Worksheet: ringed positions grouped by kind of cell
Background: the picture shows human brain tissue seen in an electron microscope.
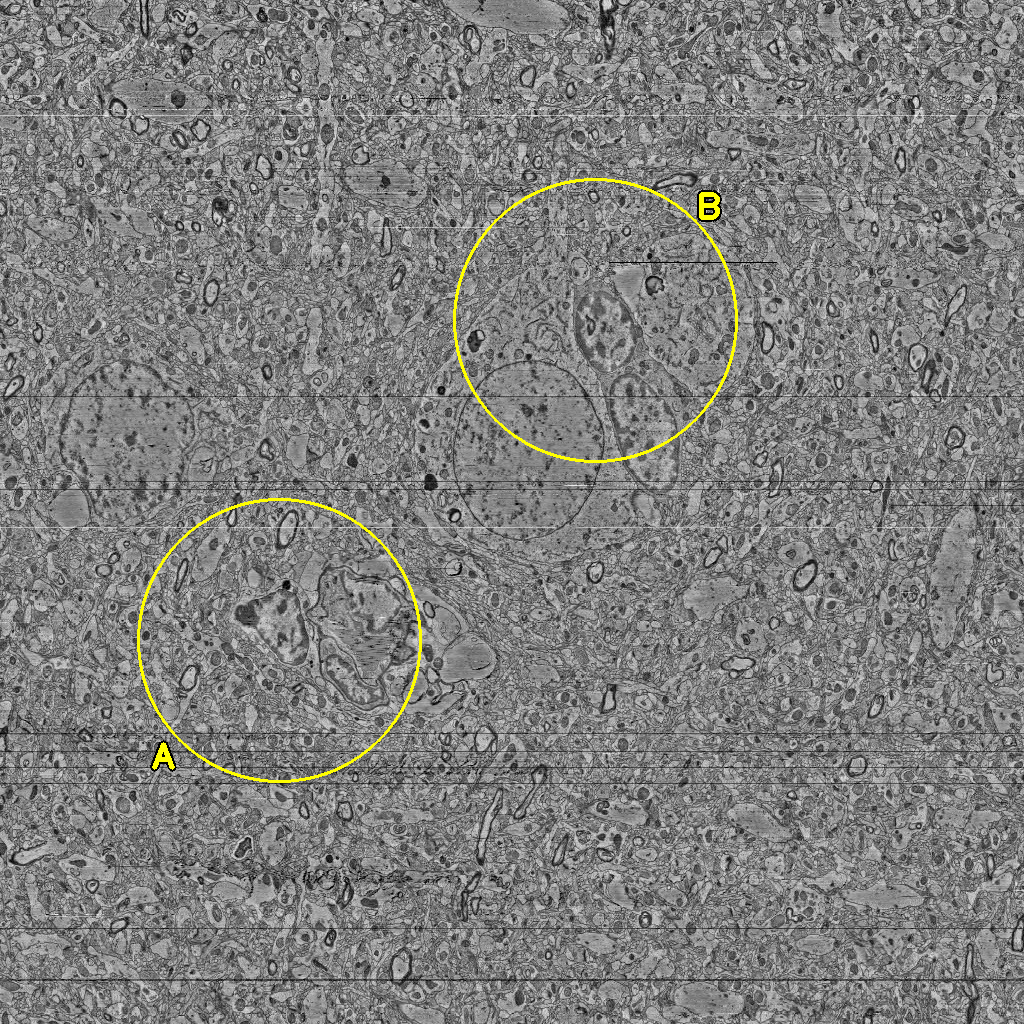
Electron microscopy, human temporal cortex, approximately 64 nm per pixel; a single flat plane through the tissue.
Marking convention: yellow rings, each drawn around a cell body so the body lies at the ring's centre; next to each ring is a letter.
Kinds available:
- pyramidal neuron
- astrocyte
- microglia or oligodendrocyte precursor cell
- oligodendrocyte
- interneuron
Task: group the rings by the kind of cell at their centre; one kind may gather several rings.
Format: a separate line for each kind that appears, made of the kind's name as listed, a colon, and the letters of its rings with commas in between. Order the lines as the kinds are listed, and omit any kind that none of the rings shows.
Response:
microglia or oligodendrocyte precursor cell: A
oligodendrocyte: B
